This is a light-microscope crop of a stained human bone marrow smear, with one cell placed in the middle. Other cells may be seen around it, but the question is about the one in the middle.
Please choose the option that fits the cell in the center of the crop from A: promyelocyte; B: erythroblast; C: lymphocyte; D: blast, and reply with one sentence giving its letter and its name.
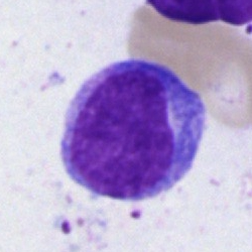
As the central cell is a blast, option D is correct.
